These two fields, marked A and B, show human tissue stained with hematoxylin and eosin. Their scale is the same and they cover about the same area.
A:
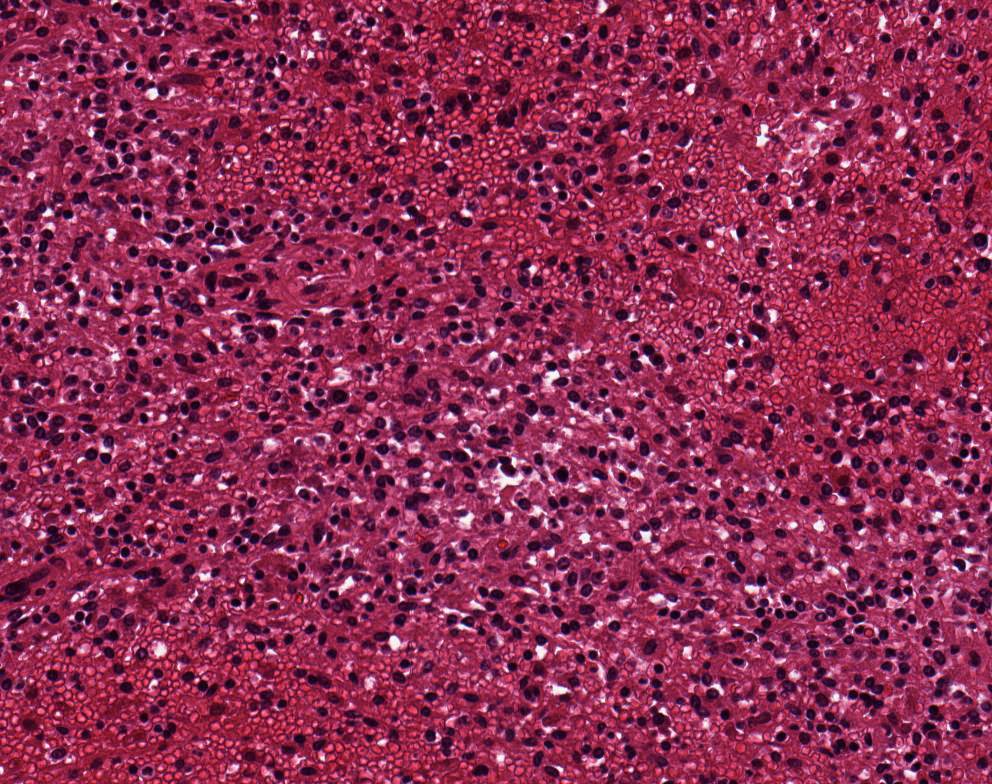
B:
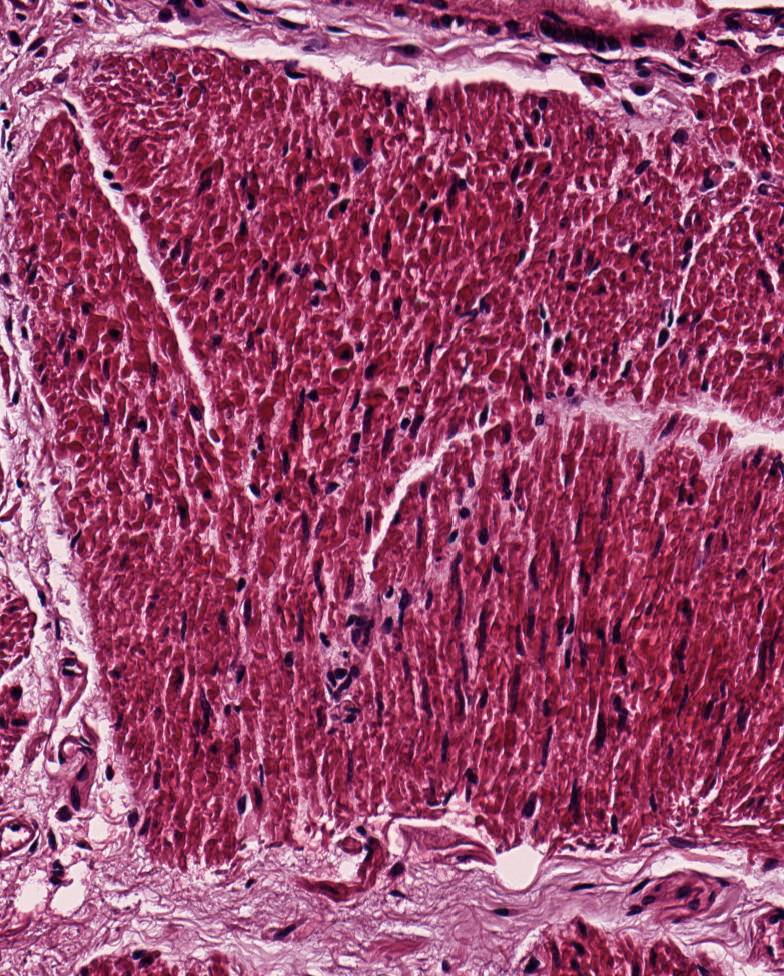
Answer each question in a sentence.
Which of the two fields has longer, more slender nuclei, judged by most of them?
The nuclei are more elongated in field B.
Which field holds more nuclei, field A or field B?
Field A holds more nuclei than field B.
